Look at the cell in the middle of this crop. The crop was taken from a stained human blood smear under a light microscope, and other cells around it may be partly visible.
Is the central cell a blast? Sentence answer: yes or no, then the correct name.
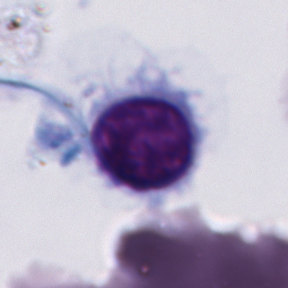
No, the centre of the crop contains a hairy cell rather than a blast.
